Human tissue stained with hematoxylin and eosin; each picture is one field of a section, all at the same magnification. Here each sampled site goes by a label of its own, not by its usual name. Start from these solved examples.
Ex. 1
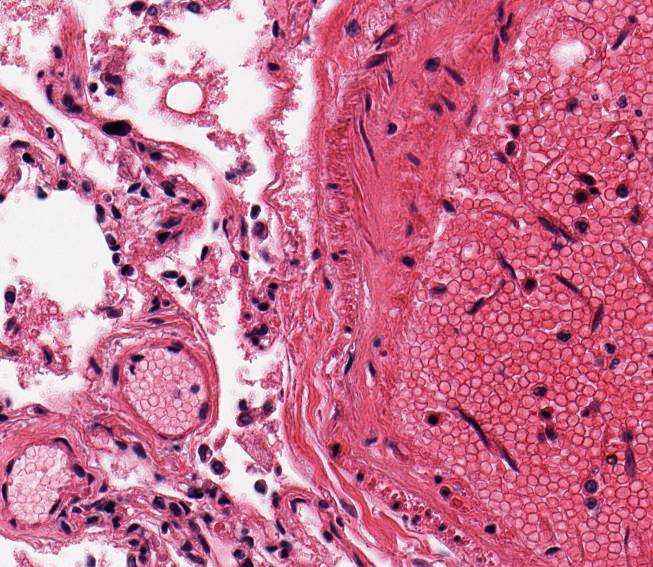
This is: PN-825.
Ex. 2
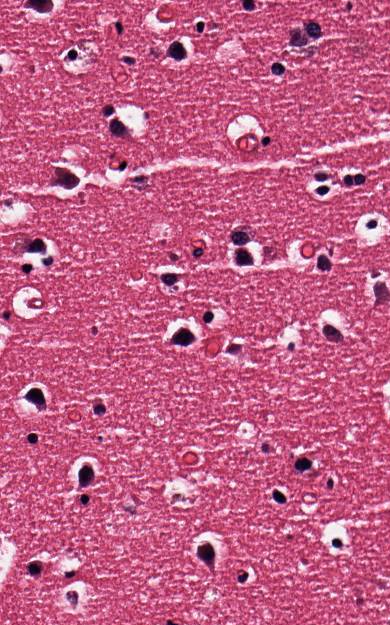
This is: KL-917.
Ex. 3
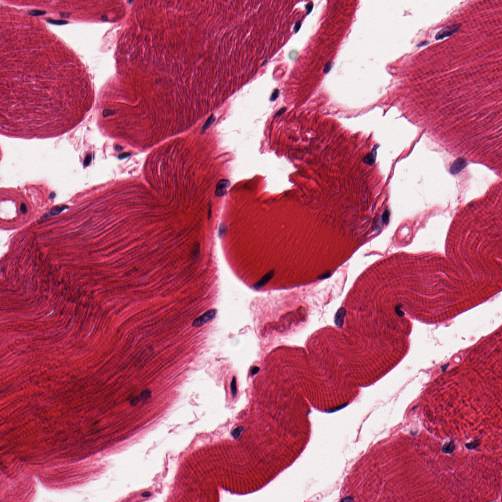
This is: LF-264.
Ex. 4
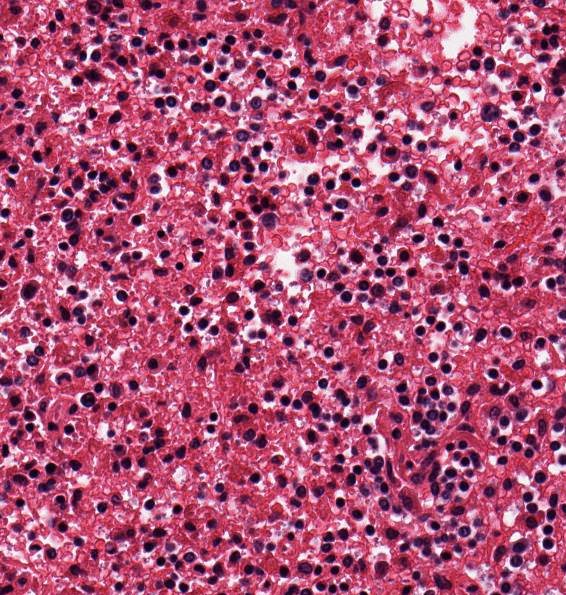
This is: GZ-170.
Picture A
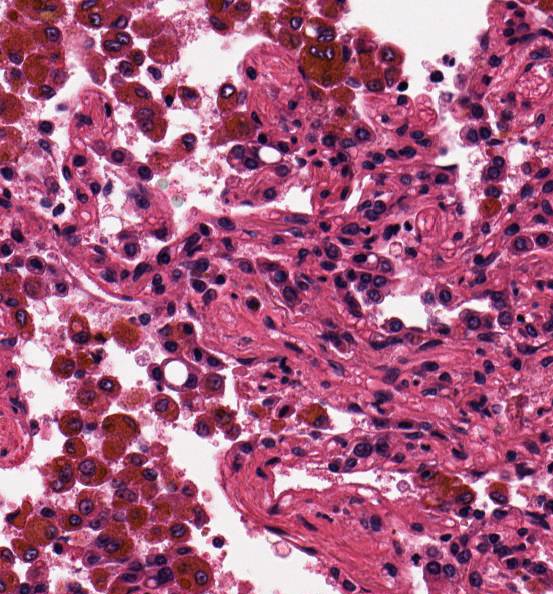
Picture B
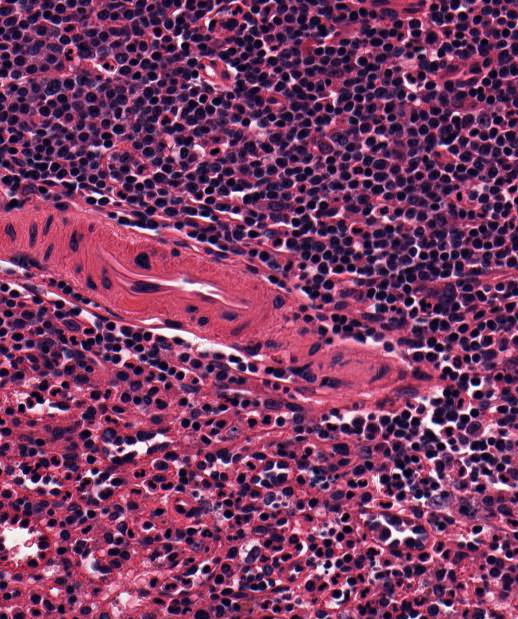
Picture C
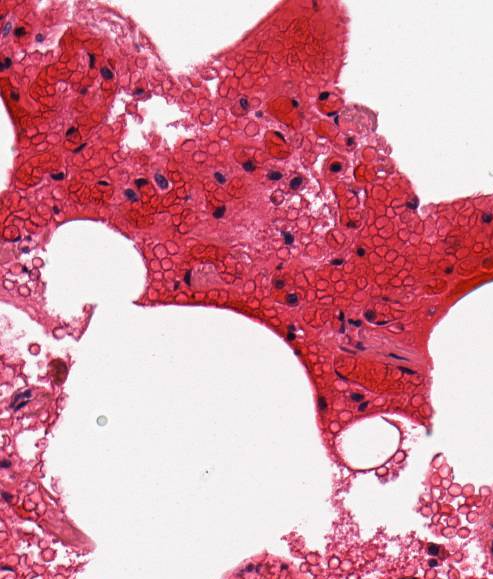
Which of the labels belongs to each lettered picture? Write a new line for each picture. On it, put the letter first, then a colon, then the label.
A: PN-825.
B: GZ-170.
C: PN-825.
